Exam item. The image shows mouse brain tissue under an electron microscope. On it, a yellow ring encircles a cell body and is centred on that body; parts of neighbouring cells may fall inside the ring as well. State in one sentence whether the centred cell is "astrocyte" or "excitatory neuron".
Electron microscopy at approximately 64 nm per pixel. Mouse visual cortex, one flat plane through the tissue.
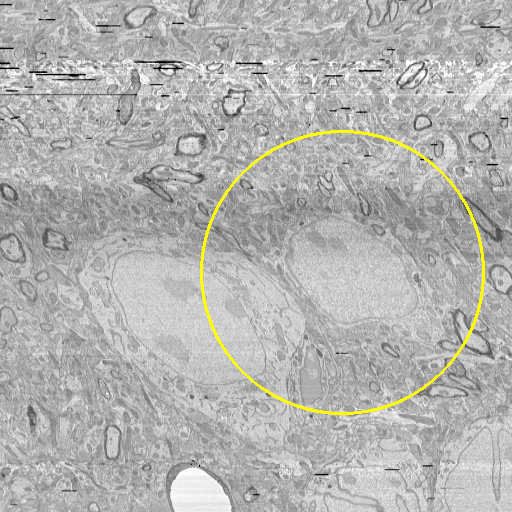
The cell body centred in the ring is an astrocyte.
